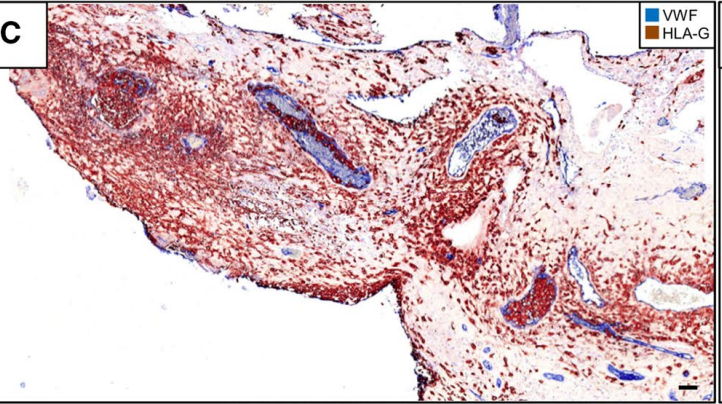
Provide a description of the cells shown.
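This is decidual tissue heavily invaded by extravillous trophoblasts, with cross-sectioned spiral arteries and other vessels. Brown-stained, mostly spindle to polygonal cells are spread densely through the stroma, thickest toward the left and around the vessels. Several vessel profiles are lined by a thin blue endothelial layer; some of these have their lumina filled with tightly packed brown cells, forming plugs, while others are open or contain pale material. Elongated vessels are cut obliquely. Toward the right and upper edge the tissue is looser and paler, with fewer brown cells.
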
